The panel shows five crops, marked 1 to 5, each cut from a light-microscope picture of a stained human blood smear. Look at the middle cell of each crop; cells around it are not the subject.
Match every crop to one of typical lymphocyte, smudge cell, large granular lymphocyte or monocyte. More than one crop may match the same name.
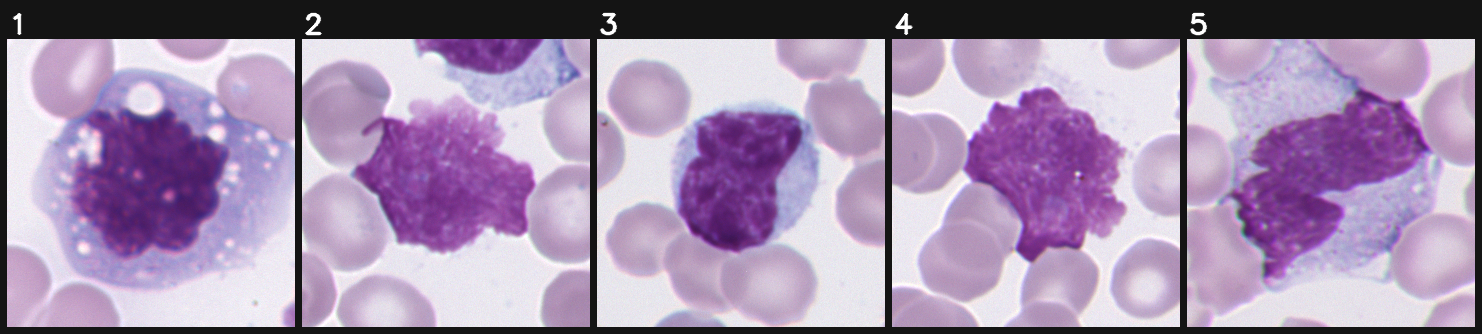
1: monocyte
2: smudge cell
3: monocyte
4: smudge cell
5: monocyte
